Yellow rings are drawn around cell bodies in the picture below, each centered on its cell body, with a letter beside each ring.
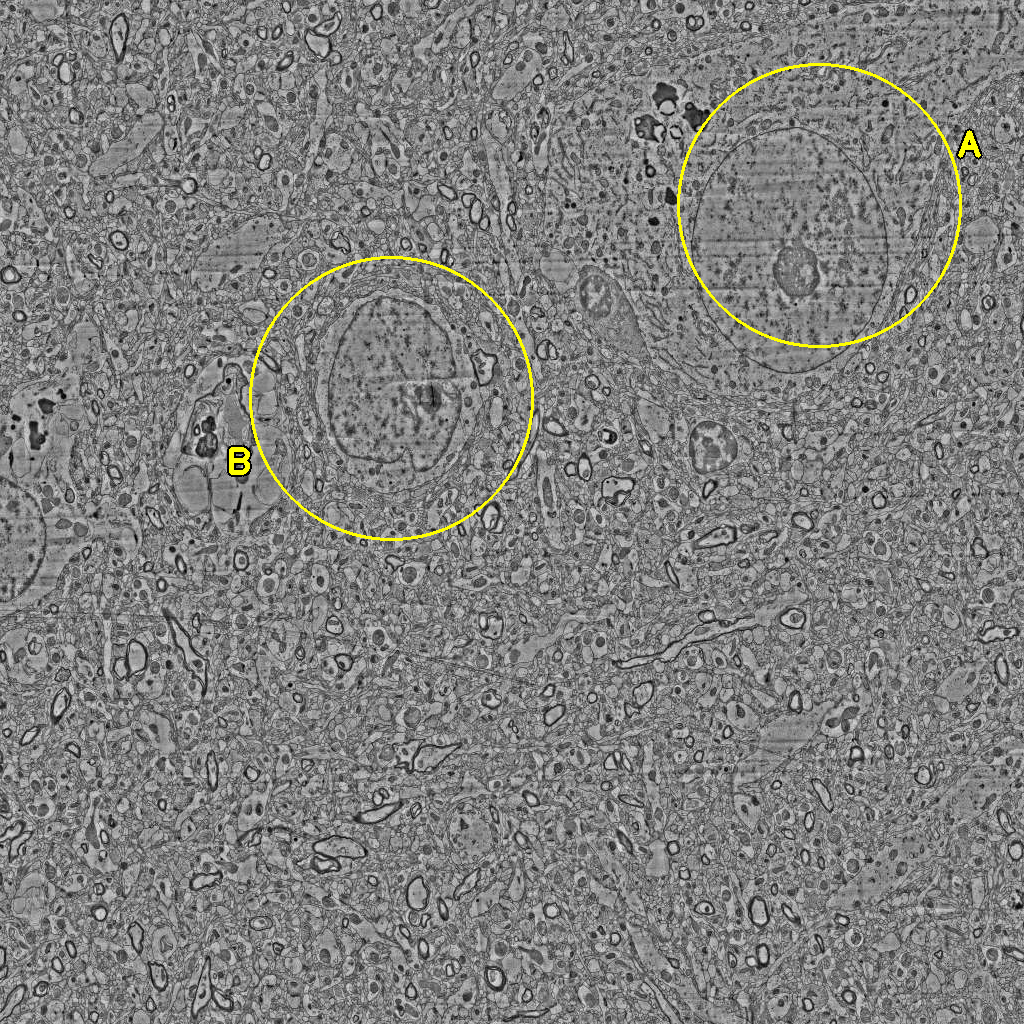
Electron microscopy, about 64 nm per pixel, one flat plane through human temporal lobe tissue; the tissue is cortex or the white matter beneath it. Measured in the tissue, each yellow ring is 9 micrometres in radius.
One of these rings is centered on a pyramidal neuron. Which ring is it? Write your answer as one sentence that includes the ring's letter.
It is ring A.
